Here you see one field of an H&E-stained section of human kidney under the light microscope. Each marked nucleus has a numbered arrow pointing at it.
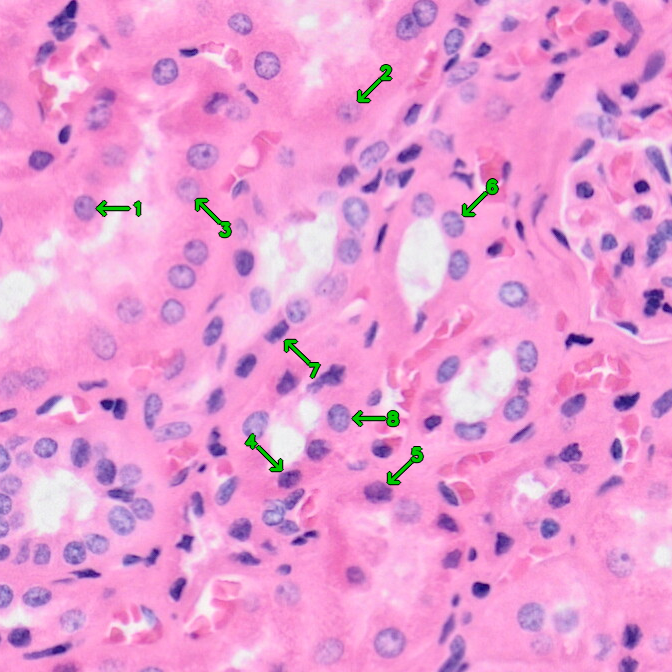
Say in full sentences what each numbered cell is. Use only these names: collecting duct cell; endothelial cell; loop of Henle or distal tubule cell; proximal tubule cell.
Cells 1, 2, 3 and 5 are proximal tubule cells. Cells 4, 6 and 8 are loop of Henle or distal tubule cells. Cell 7 is a collecting duct cell.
